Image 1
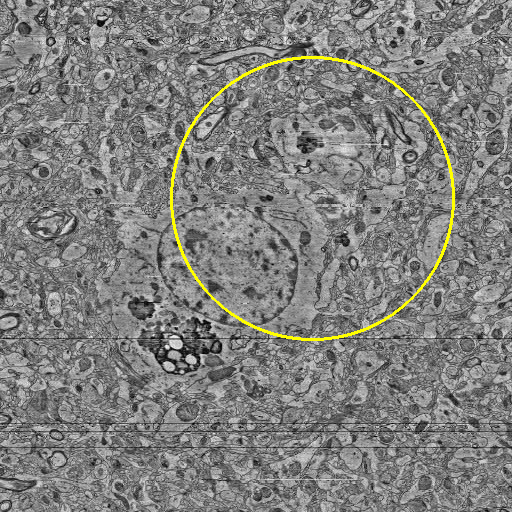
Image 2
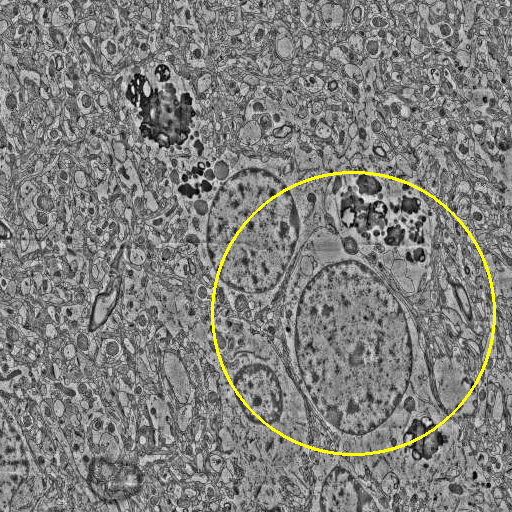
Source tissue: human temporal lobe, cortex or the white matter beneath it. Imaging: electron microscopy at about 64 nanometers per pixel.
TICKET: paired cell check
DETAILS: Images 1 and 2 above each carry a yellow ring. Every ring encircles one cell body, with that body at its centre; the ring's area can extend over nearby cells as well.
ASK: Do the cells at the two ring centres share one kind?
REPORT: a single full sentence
No, the ring-centre cells of Images 1 and 2 belong to two kinds.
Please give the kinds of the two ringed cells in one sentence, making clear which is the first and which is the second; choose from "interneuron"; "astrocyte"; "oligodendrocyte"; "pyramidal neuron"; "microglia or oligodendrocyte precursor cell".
In the second picture the ringed cell is an astrocyte; in the first it is an oligodendrocyte.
